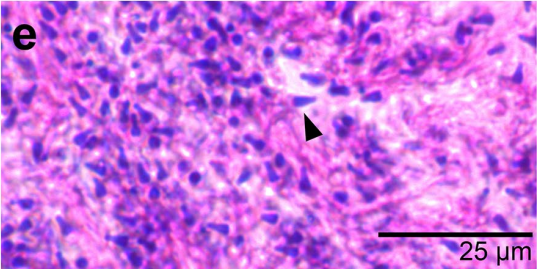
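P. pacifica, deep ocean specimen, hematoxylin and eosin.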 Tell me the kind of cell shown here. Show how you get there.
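Numerous small cells with dark purple, pointed nuclei. Pink fibrous strands run between the nuclei.
Conclusion: spermatozoa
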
